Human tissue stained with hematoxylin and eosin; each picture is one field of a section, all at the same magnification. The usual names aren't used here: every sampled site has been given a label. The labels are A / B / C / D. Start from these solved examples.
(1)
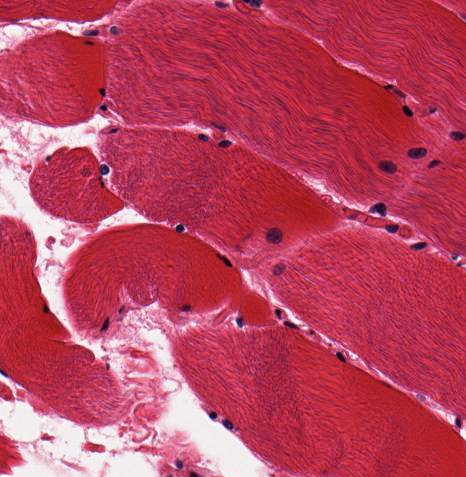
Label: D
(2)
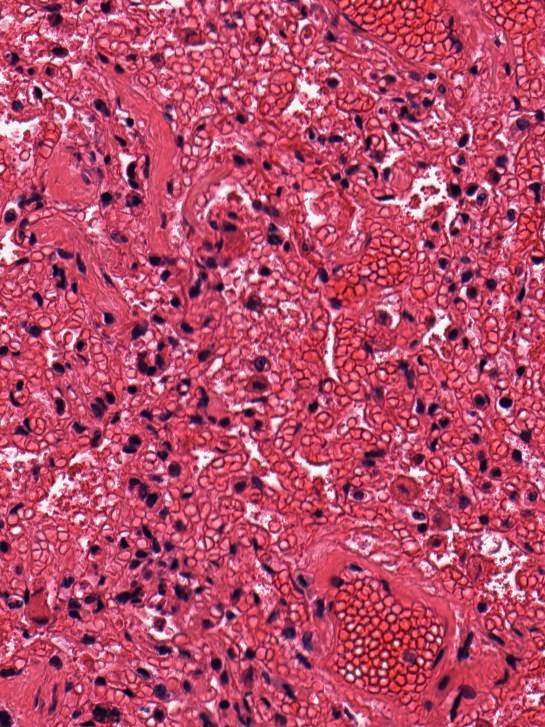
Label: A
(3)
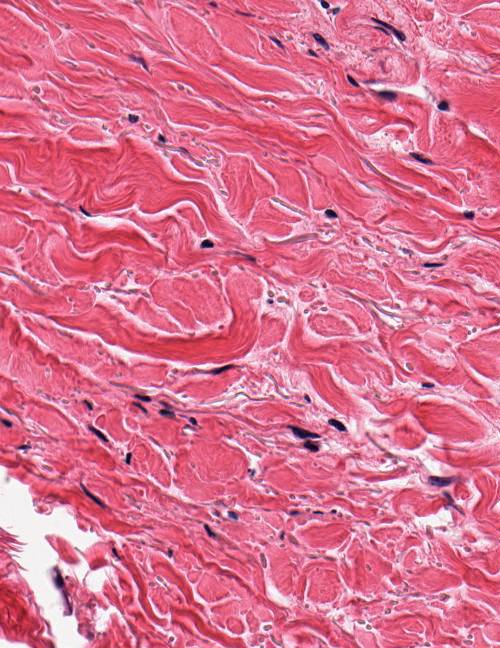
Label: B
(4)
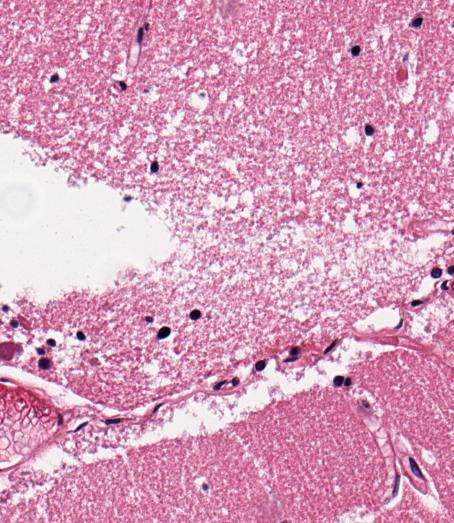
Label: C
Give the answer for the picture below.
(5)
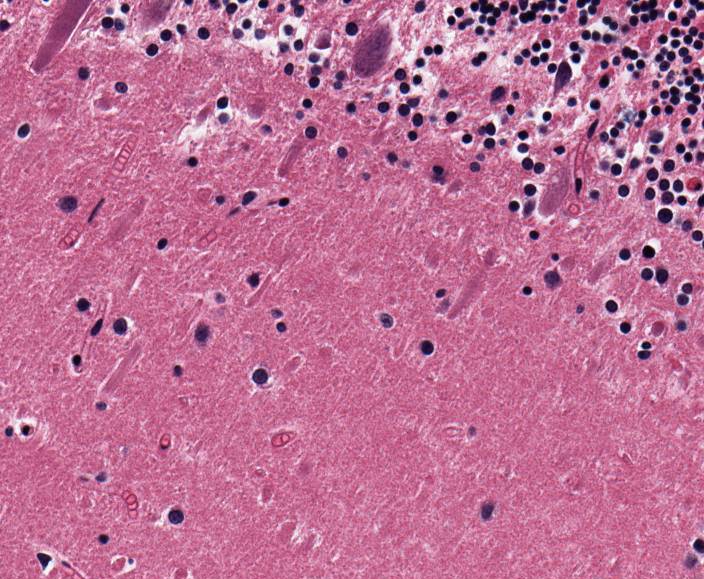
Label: C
